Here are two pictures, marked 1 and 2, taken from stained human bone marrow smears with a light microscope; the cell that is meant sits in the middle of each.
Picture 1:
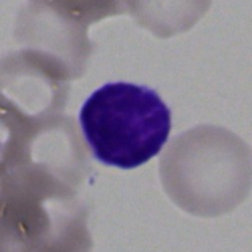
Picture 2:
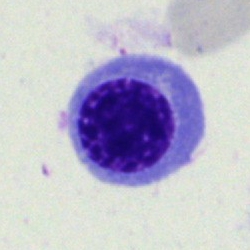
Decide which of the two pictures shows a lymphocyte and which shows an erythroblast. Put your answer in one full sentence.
Picture 1 shows a lymphocyte and picture 2 shows an erythroblast.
